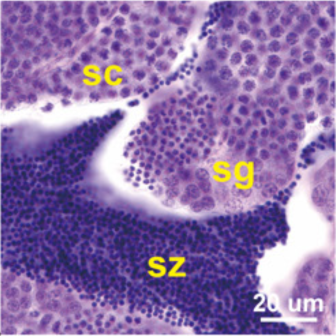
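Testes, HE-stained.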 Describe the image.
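High-magnification view of testis tissue in which germ cells at several stages lie side by side. Large cells with pale, round nuclei and ample cytoplasm sit singly or in small groups, while cysts of smaller cells with round, more darkly stained nuclei cluster nearby. A lumen is filled with a dense mass of tiny, very dark purple heads of sperm.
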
